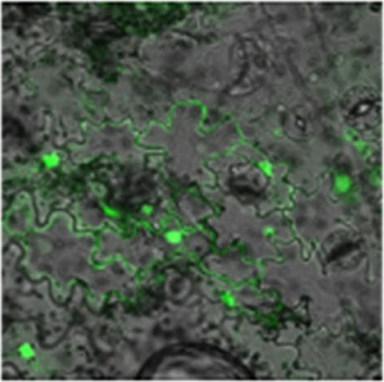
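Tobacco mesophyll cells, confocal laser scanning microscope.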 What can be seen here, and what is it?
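The cells have wavy, interlocking outlines like jigsaw pieces. In the fluorescent cells the green runs as a thin line hugging the cell outline, which is the thin layer of cytosol pressed against the wall. Within several cells sits a single small, round, bright green body, the nucleus.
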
